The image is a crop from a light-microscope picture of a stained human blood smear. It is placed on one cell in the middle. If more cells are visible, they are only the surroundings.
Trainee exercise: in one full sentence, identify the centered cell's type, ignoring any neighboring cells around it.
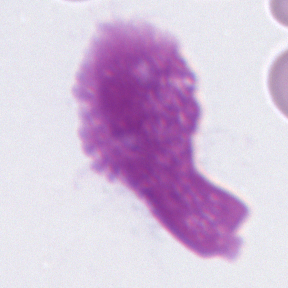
The central cell shown in this smear crop is a smudge cell.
